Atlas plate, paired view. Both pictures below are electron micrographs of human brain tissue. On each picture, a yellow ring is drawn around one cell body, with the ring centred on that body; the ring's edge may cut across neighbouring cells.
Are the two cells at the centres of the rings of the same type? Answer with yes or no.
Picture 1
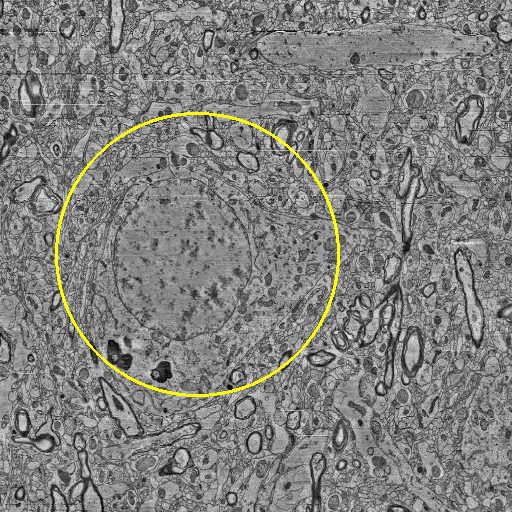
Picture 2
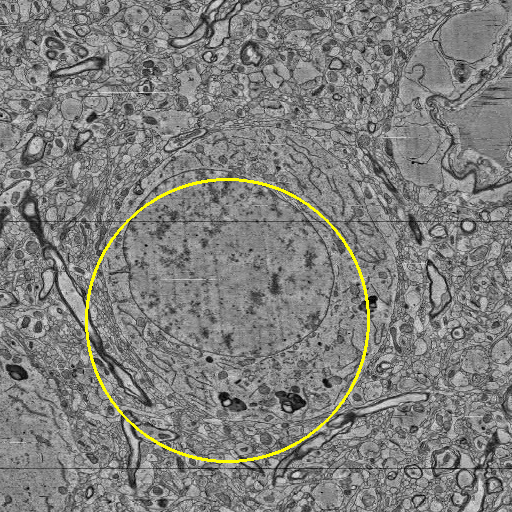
yes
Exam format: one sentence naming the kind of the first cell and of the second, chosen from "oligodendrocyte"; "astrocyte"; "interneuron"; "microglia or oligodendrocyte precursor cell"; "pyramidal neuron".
Each cell at the centre of a ring is a pyramidal neuron.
